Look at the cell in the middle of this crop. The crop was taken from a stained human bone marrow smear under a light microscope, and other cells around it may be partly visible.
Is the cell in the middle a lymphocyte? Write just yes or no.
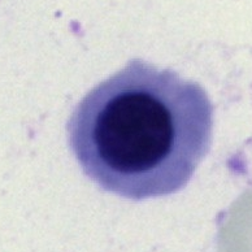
no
